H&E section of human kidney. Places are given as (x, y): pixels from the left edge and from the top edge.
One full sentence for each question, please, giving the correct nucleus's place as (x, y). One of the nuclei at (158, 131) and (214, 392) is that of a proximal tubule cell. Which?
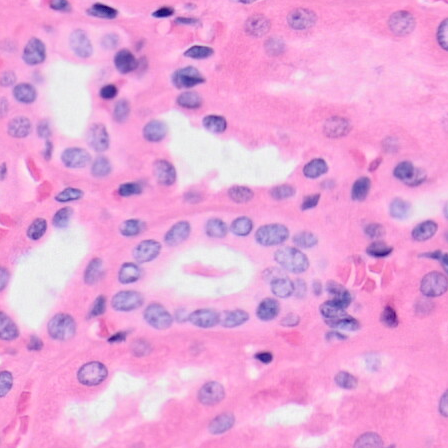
Between the pair, the nucleus at (214, 392) belongs to a proximal tubule cell.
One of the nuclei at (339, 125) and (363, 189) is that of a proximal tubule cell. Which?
Which one belongs to a proximal tubule cell? The nucleus at (339, 125) does.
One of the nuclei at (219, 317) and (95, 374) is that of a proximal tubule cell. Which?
Here the nucleus at (95, 374) is the one that belongs to a proximal tubule cell.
